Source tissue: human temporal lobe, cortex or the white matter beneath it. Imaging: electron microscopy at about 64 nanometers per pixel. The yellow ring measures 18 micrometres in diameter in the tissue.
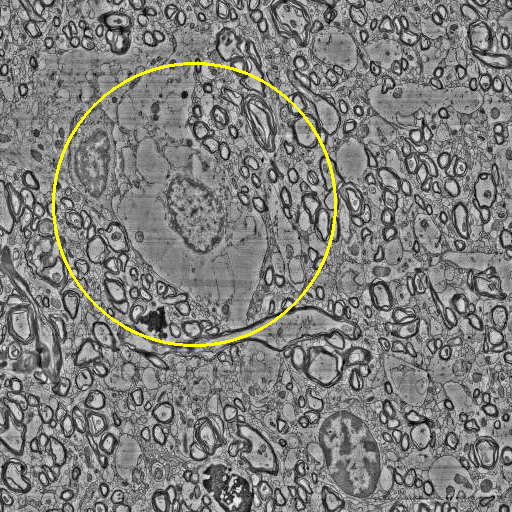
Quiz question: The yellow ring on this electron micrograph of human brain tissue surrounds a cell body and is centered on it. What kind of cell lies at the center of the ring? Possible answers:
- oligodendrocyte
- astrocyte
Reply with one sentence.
The ring's center lies on an astrocyte.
